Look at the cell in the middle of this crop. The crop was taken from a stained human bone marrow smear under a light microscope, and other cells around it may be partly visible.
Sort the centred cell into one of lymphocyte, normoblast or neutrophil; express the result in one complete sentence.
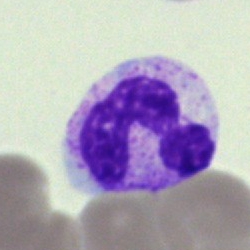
The cell under consideration, at the middle of the crop, is a neutrophil.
